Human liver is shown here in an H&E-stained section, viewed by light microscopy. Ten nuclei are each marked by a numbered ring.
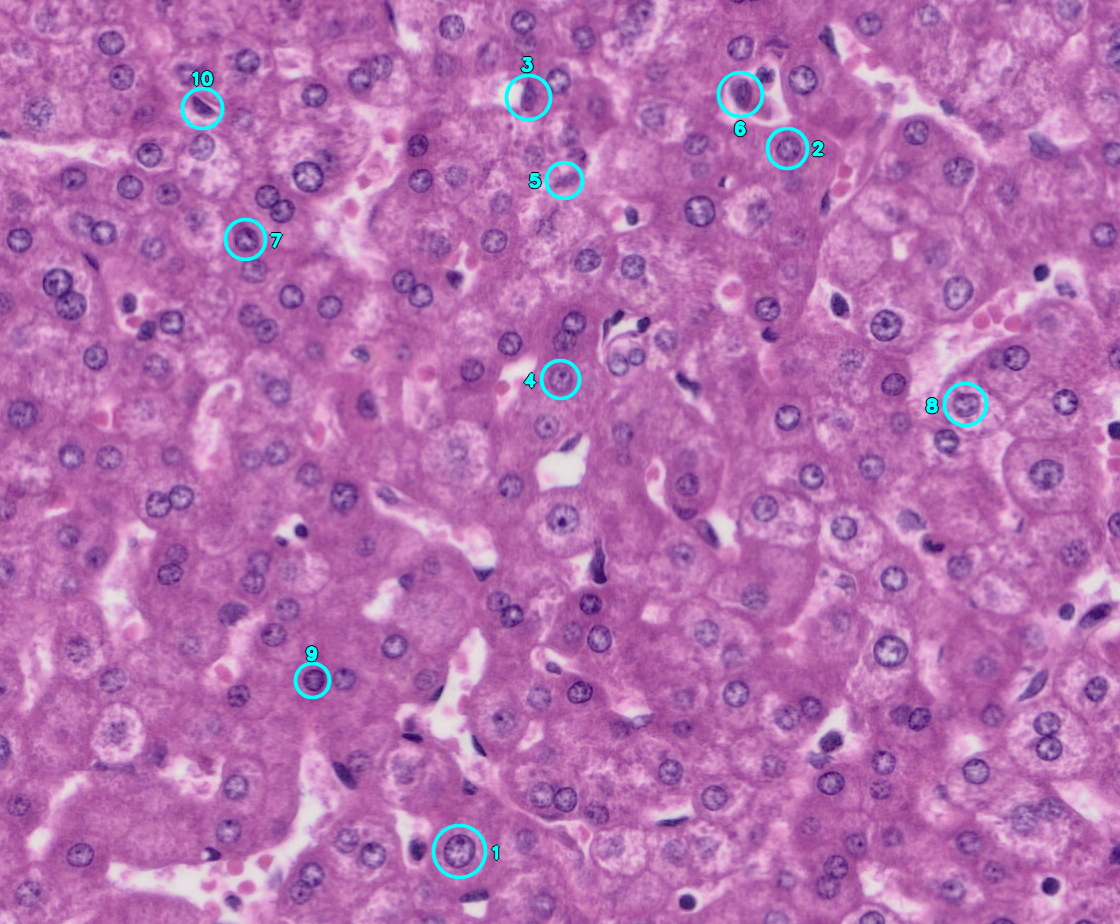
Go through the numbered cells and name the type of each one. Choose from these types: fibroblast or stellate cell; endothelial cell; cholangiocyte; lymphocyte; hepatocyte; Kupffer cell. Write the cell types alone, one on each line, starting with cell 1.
hepatocyte
hepatocyte
endothelial cell
hepatocyte
Kupffer cell
Kupffer cell
hepatocyte
hepatocyte
hepatocyte
endothelial cell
